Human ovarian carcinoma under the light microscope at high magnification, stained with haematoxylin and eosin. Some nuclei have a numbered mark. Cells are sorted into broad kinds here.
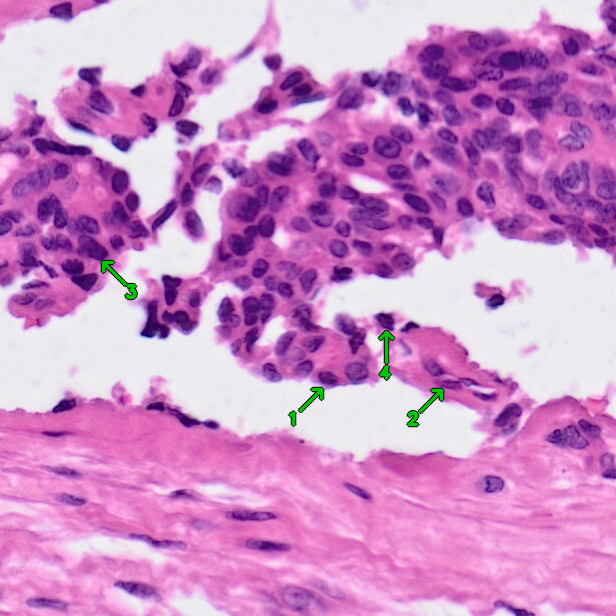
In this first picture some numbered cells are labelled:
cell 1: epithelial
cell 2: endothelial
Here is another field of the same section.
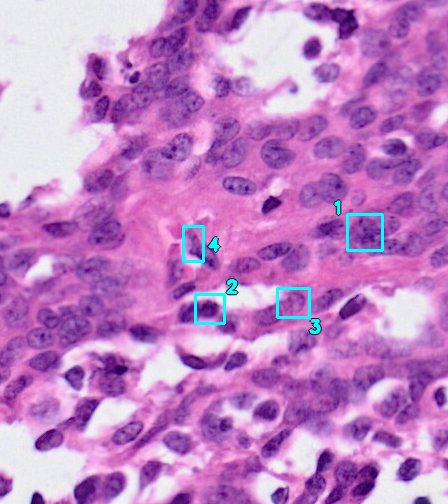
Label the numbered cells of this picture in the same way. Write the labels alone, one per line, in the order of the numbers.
epithelial
epithelial
epithelial
endothelial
